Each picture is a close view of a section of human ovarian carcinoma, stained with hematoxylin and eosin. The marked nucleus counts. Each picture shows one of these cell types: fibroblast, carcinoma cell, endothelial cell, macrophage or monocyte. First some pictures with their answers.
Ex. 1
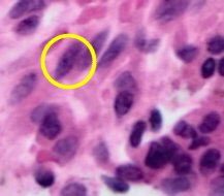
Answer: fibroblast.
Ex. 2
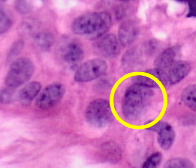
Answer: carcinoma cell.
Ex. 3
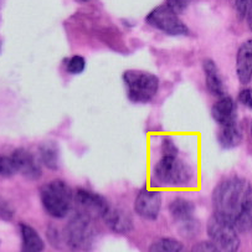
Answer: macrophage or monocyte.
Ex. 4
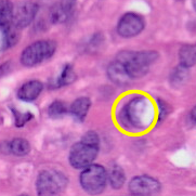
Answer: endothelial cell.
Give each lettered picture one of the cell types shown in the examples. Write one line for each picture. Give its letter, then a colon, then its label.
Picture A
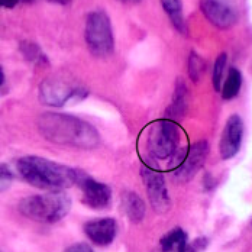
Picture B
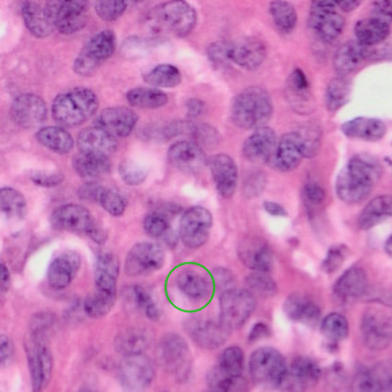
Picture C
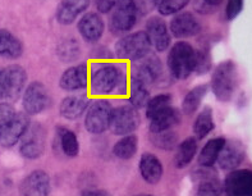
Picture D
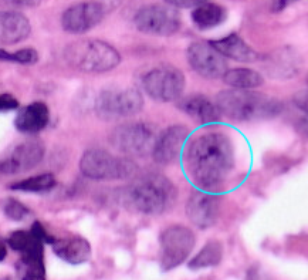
A: endothelial cell.
B: carcinoma cell.
C: carcinoma cell.
D: carcinoma cell.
